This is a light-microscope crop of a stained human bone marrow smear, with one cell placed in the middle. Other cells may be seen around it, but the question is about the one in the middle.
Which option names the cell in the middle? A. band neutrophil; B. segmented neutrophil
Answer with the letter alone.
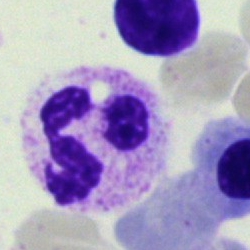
B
